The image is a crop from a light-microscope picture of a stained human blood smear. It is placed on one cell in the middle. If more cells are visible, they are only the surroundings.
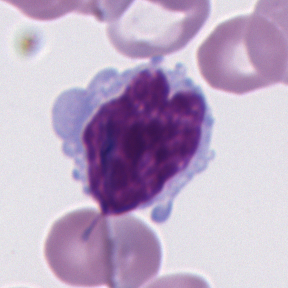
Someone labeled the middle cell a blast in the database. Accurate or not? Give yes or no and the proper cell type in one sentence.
No, the central cell is not a blast, being instead a lymphocyte.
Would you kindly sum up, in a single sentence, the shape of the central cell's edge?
Instead of a smooth edge, this cell has an irregular one, ragged or with projections.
